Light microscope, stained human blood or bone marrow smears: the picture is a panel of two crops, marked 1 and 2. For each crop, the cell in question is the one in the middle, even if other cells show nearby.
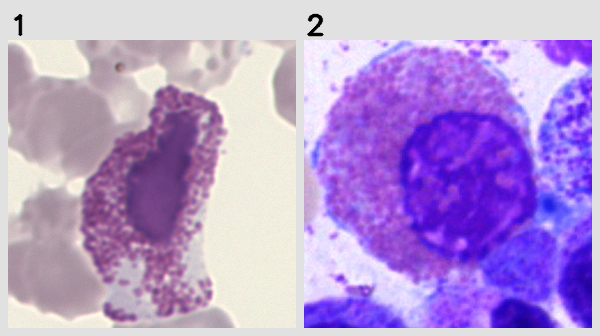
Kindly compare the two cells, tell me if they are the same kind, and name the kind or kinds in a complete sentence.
Yes, the cells at the centre of both crops are eosinophils.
